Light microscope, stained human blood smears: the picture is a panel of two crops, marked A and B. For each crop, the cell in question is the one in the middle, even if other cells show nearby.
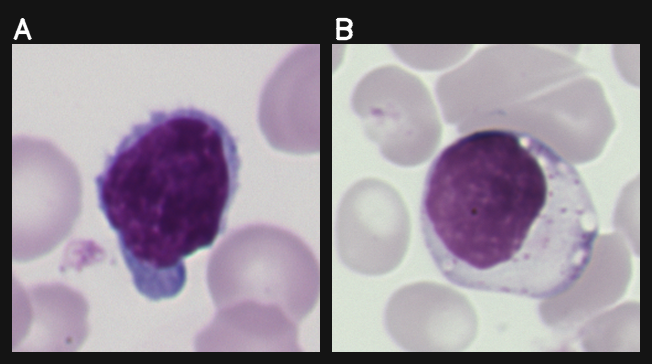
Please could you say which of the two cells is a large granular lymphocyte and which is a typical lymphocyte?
A: typical lymphocyte
B: large granular lymphocyte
